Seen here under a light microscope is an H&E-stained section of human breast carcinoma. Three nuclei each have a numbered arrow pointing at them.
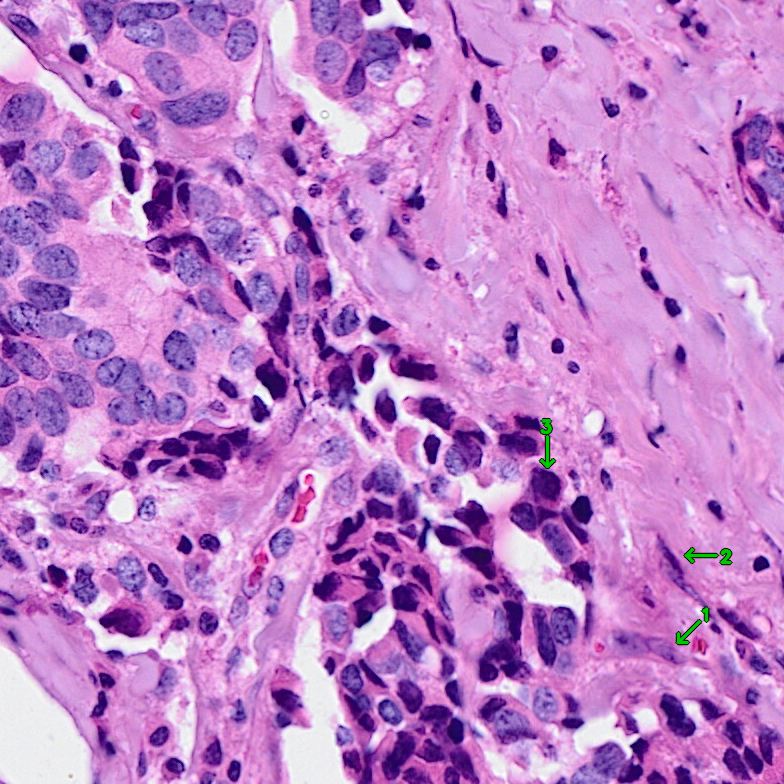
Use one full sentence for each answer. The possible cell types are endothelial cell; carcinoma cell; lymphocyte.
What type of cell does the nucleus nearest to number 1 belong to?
The cell nearest to number 1 is an endothelial cell.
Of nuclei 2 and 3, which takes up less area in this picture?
It is nucleus 2; nucleus 3 has about 2.5 times its area.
